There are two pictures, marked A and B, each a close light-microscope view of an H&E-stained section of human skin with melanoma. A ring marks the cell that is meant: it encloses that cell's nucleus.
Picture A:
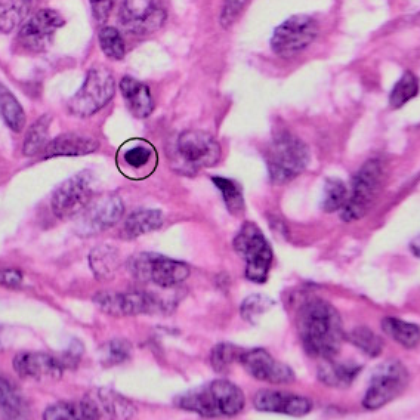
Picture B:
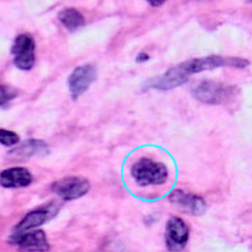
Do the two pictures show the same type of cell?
yes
